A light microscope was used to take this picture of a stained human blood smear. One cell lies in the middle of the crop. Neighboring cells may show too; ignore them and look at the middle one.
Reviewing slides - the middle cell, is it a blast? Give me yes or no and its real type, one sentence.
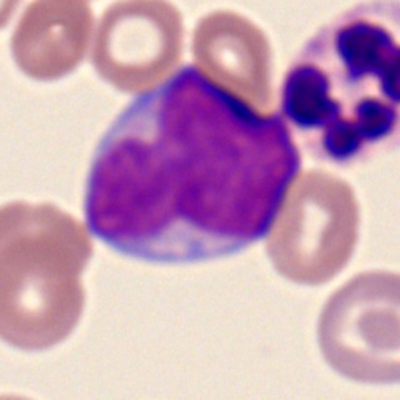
Yes, a blast is the cell positioned in the middle of the field.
